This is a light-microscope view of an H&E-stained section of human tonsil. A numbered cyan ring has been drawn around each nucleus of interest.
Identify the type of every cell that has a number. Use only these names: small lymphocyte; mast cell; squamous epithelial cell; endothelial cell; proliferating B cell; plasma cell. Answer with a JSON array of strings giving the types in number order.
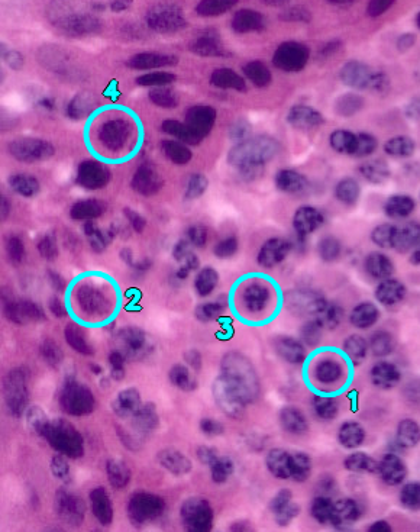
["plasma cell", "squamous epithelial cell", "plasma cell", "squamous epithelial cell"]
